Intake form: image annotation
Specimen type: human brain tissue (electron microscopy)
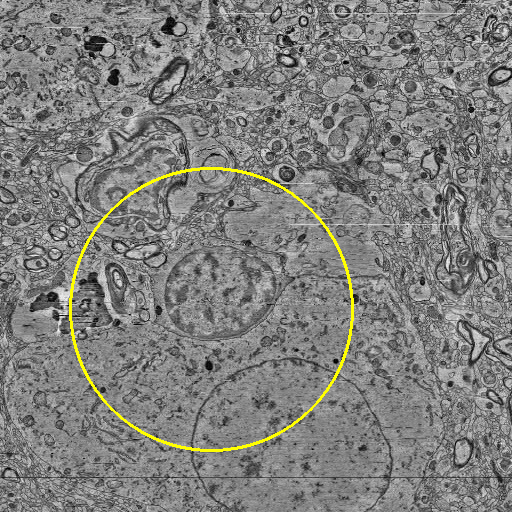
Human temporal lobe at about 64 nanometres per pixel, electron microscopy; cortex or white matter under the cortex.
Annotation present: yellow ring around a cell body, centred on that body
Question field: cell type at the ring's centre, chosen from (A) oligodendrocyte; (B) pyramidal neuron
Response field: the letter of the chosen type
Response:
A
